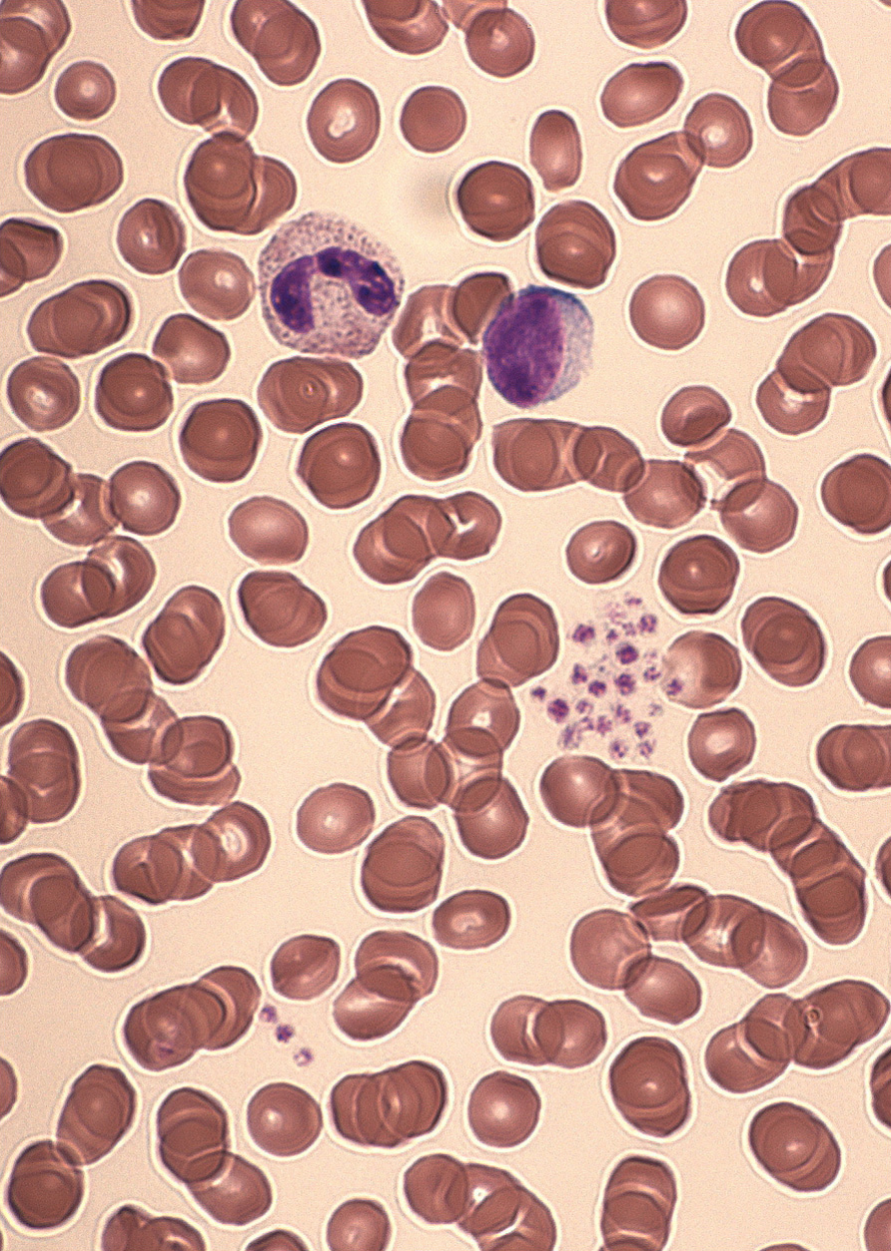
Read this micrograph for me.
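A peripheral blood smear with an activated lymphocyte, a neutrophil and clumped platelets among many red cells. The red cells are round, pink-brown discs with a paler centre, often overlapping in short chains. In the upper part a neutrophil shows a purple nucleus divided into lobes within pale, finely granular cytoplasm. In the lower middle a clump of small purple, granular platelets lies between the red cells, and a few more lie together at lower left, rather than scattered singly.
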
